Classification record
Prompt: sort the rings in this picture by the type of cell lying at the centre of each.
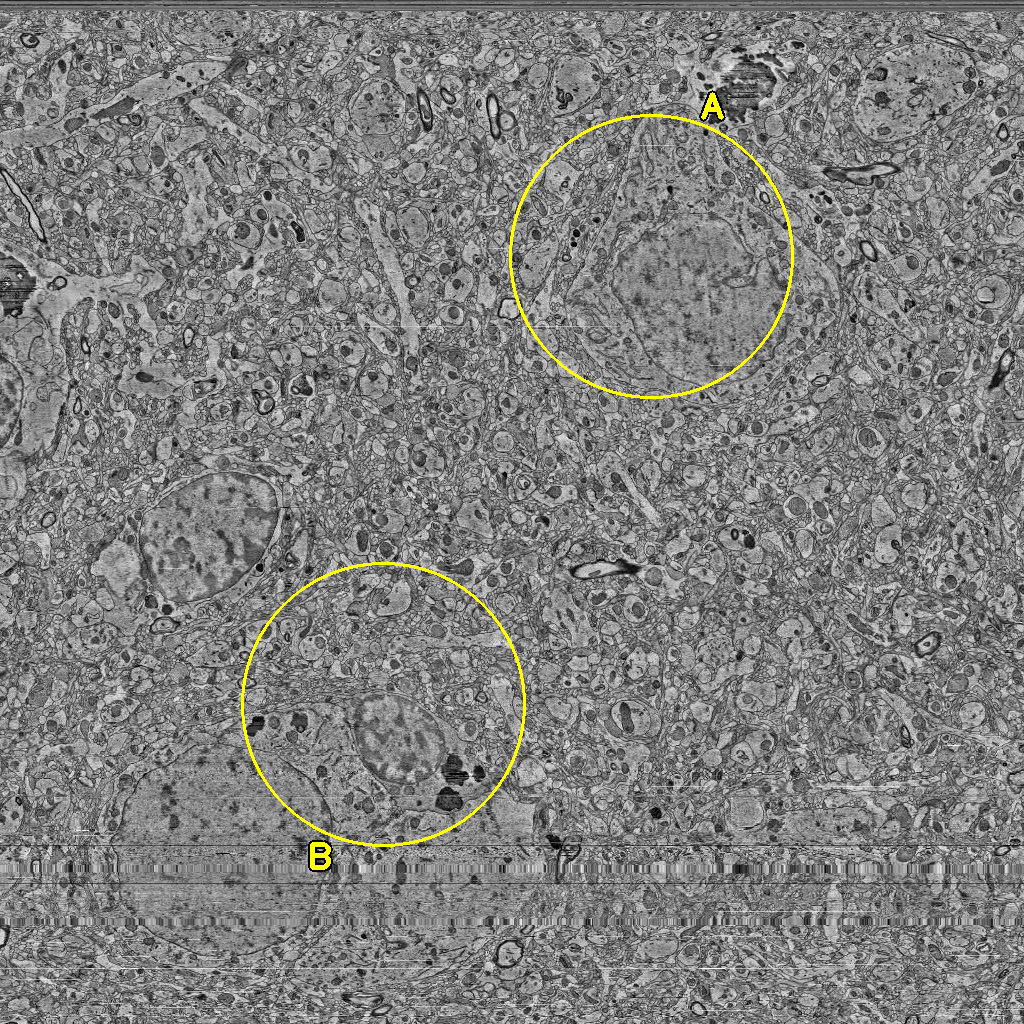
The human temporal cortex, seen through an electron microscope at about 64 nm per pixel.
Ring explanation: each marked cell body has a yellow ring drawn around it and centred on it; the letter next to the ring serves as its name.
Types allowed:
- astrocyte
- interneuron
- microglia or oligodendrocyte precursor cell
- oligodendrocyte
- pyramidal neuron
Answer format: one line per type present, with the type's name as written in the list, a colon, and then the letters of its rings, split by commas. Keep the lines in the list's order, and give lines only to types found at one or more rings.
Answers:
interneuron: A
oligodendrocyte: B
